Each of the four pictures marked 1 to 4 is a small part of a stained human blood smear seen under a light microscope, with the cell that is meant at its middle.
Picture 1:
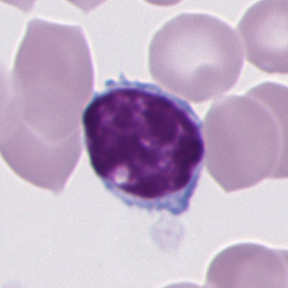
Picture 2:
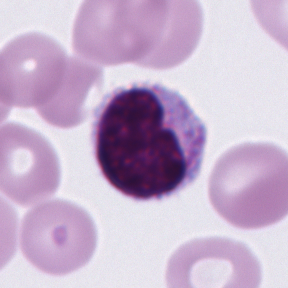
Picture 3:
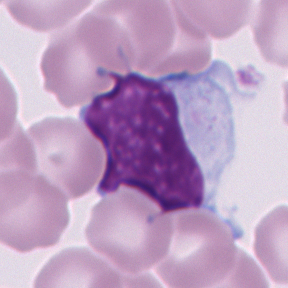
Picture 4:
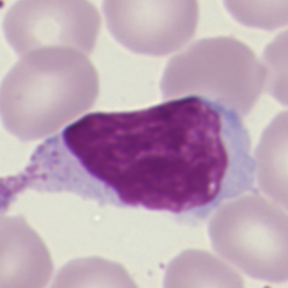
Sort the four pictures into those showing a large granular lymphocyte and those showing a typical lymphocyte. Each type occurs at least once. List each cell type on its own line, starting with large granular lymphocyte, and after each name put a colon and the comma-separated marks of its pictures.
large granular lymphocyte: 2, 4
typical lymphocyte: 1, 3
